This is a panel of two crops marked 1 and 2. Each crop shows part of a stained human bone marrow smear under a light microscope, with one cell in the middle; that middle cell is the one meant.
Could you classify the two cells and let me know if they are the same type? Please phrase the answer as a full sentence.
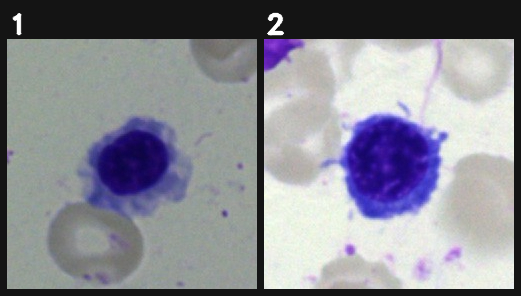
Yes, the pair of crops both show erythroblasts.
